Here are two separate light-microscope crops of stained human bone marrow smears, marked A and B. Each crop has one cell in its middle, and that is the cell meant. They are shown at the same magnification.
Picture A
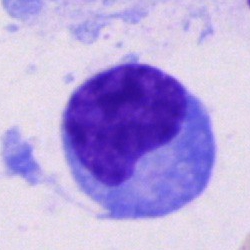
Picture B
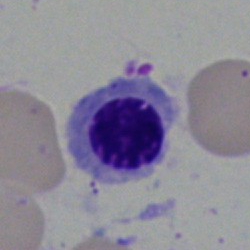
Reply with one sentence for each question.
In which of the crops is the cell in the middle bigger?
Larger is the cell in picture A, at roughly 2 times the area of the other.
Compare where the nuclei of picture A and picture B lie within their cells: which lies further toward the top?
In picture A the nucleus is shifted more toward the top.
